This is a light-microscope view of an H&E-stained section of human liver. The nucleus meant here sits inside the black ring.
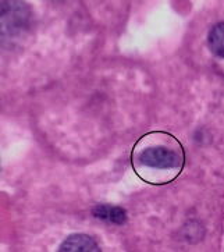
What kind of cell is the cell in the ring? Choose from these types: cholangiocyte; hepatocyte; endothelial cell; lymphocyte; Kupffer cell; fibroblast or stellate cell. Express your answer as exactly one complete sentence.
Speaking plainly, the cell in the ring is nothing other than a Kupffer cell.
